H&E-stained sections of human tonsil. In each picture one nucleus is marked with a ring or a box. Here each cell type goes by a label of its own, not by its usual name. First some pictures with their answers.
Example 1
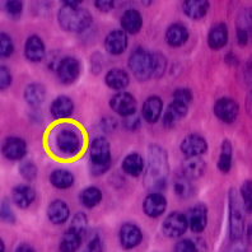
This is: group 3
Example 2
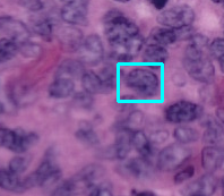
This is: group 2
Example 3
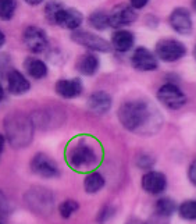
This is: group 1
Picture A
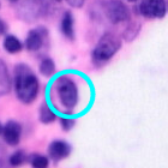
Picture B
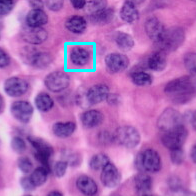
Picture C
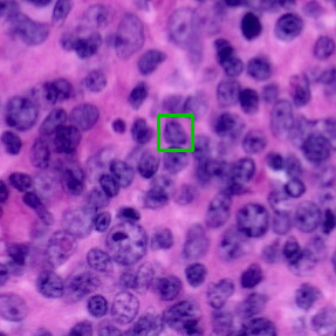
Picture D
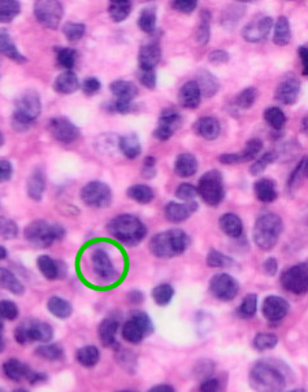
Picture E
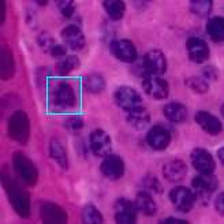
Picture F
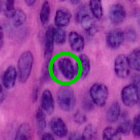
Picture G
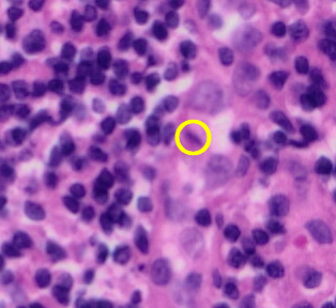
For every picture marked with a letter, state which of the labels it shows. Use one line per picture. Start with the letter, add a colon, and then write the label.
A: group 2
B: group 3
C: group 2
D: group 2
E: group 3
F: group 3
G: group 1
